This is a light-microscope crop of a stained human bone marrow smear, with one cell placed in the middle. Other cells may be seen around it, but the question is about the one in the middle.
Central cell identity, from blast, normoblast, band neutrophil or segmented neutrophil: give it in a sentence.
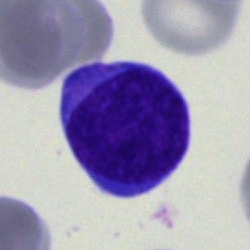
The cell shown in the center of this light-microscope crop is a blast.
